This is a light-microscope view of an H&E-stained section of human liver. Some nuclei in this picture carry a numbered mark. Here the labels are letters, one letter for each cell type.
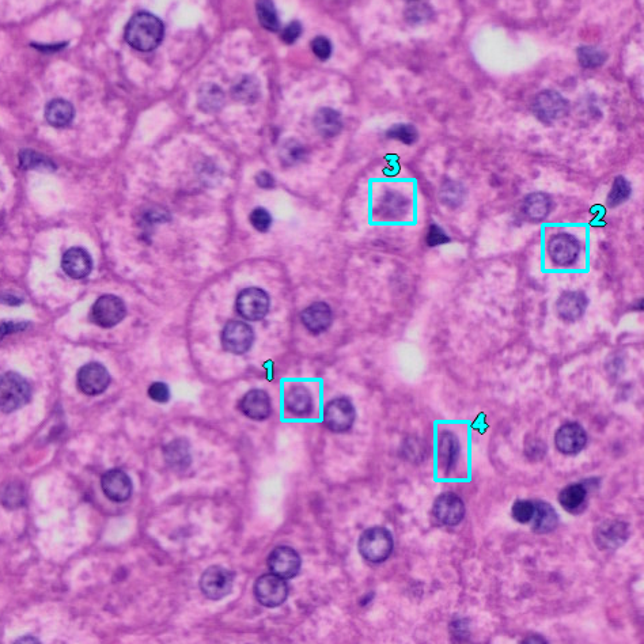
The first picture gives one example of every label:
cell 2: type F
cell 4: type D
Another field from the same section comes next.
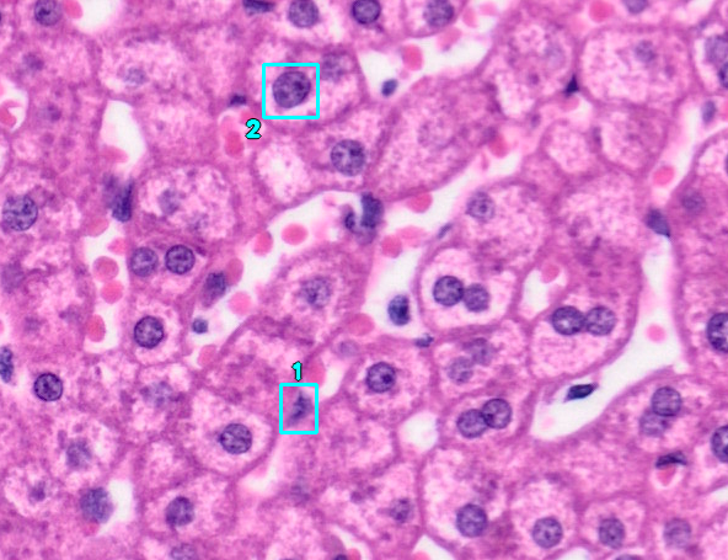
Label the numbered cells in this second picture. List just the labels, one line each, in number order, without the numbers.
type D
type F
